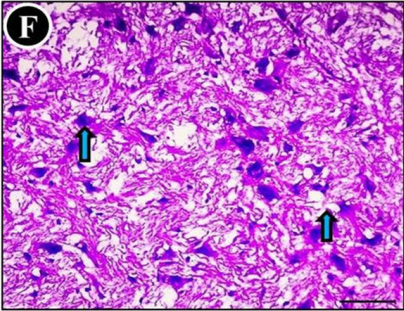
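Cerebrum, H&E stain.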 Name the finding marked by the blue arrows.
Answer: Basophilic necrotic neuron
